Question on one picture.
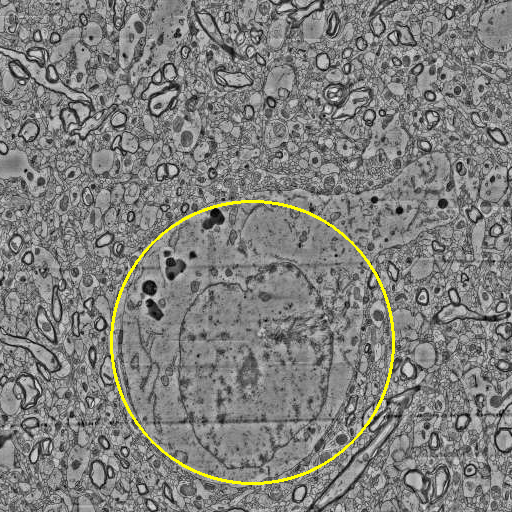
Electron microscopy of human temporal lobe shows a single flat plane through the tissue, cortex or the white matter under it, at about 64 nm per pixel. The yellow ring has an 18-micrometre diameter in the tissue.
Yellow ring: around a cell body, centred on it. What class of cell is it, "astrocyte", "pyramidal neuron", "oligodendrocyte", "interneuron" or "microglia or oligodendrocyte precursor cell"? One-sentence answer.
This is a pyramidal neuron, the cell the ring is centred on.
